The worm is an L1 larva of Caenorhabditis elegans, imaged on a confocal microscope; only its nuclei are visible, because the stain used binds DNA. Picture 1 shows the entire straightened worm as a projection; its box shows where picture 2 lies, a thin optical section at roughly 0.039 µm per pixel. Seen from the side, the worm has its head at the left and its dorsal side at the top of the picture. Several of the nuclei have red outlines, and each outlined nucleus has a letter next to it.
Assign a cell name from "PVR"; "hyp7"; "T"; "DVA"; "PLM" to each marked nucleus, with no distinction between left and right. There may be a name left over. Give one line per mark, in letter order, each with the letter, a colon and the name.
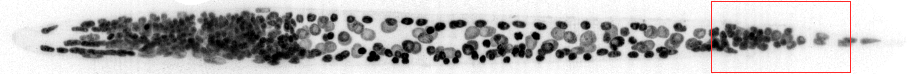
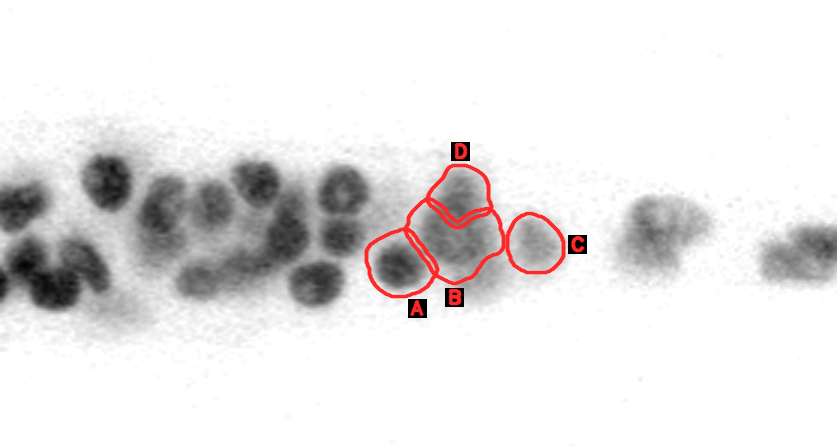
A: PLM
B: T
C: hyp7
D: PVR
